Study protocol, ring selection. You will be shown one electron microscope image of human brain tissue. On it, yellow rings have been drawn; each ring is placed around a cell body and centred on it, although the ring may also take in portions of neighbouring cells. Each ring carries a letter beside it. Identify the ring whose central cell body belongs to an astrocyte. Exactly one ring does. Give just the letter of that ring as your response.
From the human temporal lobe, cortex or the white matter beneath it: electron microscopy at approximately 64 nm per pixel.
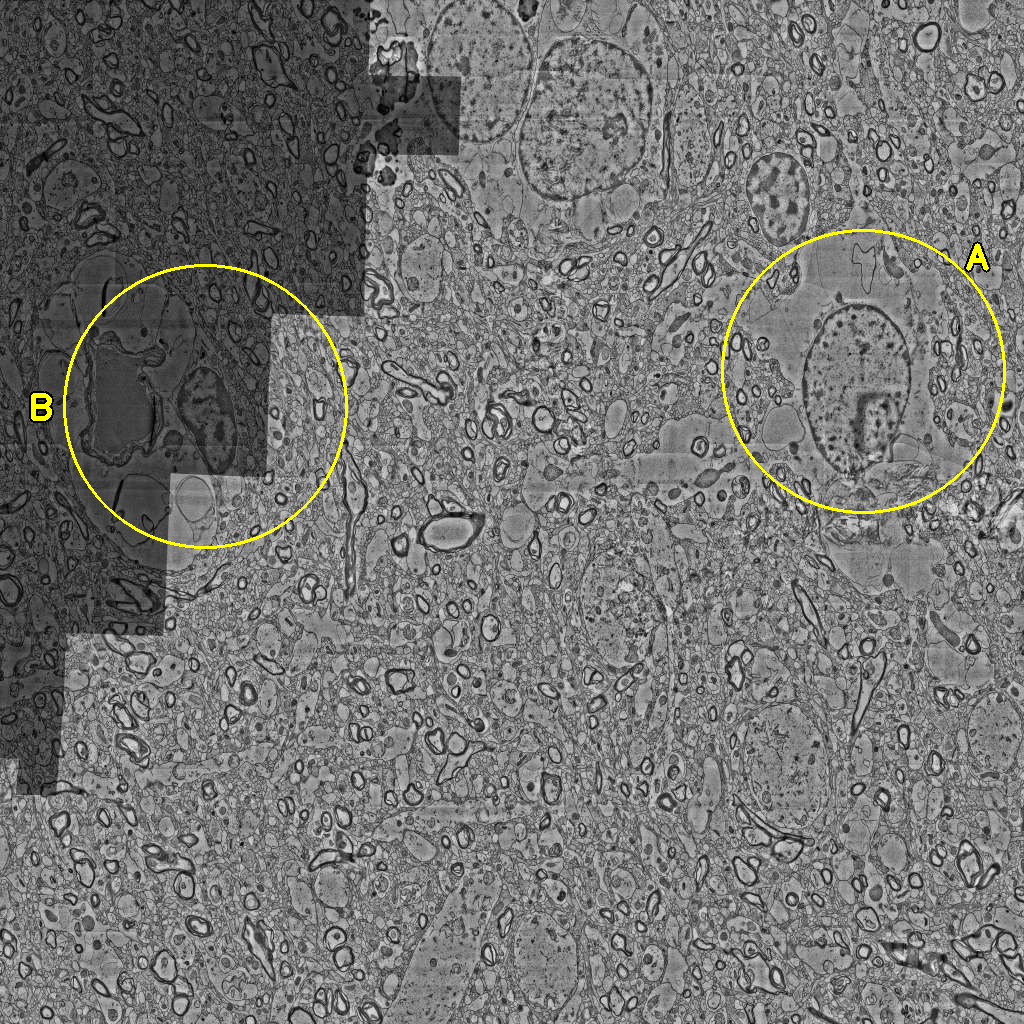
A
